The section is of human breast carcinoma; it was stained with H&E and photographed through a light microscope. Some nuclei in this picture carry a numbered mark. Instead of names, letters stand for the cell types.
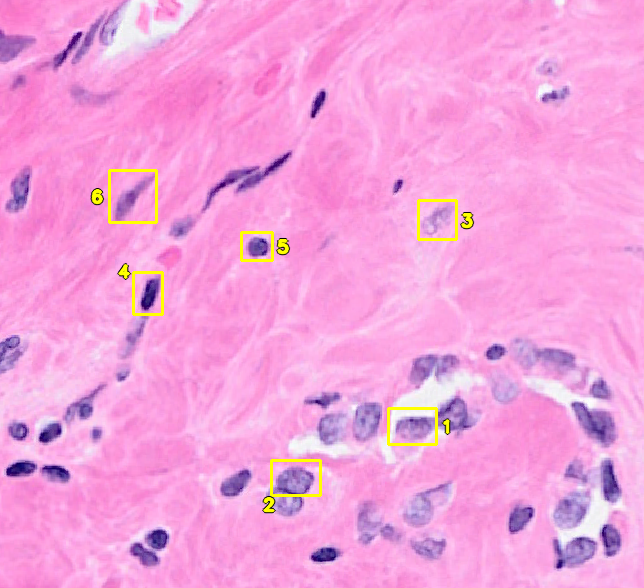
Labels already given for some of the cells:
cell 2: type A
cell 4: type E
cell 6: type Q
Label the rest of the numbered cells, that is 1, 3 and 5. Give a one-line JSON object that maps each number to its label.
{"1": "type A", "3": "type Q", "5": "type E"}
